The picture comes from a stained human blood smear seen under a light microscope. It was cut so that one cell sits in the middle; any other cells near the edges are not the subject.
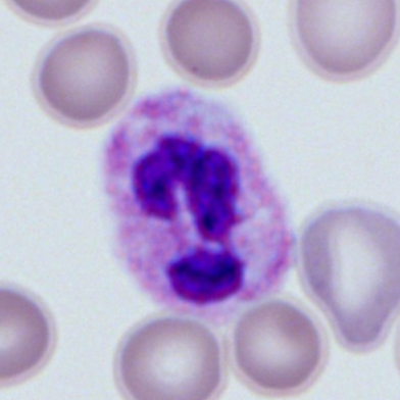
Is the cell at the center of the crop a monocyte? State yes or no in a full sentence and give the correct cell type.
No, it is not a monocyte that sits at the centre but a segmented neutrophil.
